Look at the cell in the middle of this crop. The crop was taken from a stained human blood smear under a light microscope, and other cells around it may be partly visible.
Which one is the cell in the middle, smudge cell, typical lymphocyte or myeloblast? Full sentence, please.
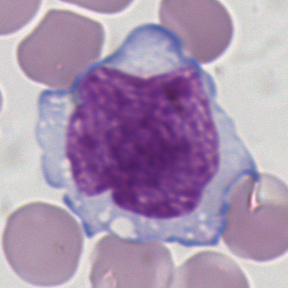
The central cell, amid any neighbouring cells, is a myeloblast.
